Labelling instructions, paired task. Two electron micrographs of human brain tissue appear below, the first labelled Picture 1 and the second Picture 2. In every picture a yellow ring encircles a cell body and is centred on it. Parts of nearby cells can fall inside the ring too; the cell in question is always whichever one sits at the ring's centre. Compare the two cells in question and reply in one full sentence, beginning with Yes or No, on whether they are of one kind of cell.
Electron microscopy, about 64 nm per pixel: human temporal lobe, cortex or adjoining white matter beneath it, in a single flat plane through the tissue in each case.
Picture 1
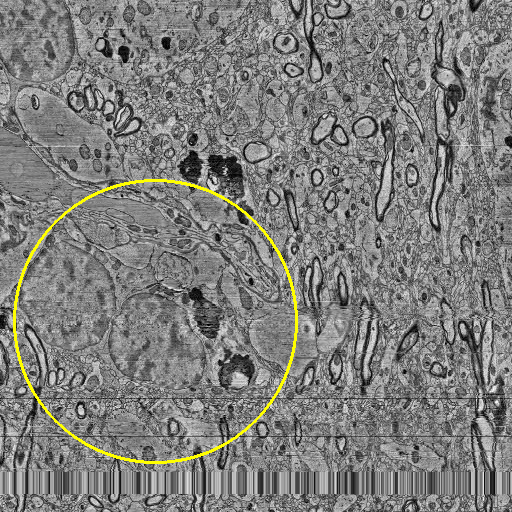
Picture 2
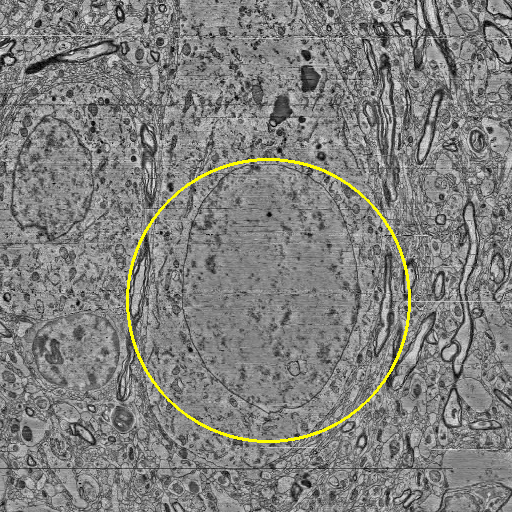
No, the two cells at the ring centres in Picture 1 and Picture 2 are of two kinds.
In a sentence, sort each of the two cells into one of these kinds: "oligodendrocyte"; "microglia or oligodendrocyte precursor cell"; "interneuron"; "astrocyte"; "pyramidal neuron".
The first of the two cells is an oligodendrocyte, and the second is a pyramidal neuron.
